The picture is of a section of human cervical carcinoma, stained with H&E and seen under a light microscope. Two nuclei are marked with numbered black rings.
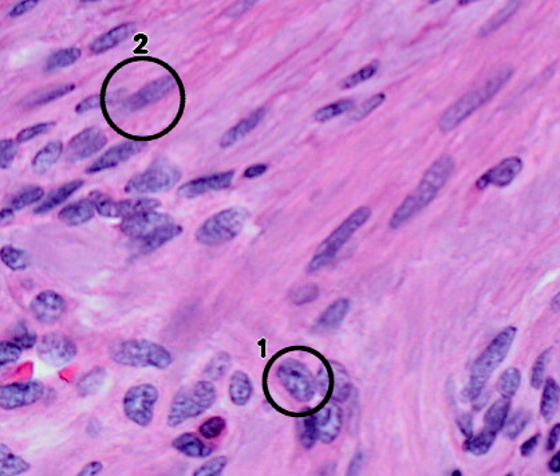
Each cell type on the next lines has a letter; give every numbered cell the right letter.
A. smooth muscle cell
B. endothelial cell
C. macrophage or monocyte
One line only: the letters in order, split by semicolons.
B; A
